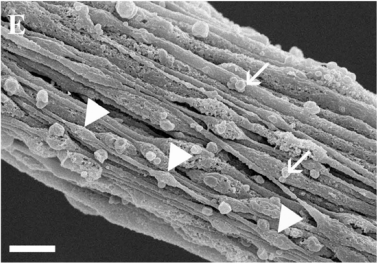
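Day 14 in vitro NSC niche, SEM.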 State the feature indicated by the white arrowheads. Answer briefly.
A: varicosities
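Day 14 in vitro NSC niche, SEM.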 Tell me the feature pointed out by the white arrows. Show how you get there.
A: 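The arrows mark small round knobs on the surface of the fibres.
Blebs.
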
